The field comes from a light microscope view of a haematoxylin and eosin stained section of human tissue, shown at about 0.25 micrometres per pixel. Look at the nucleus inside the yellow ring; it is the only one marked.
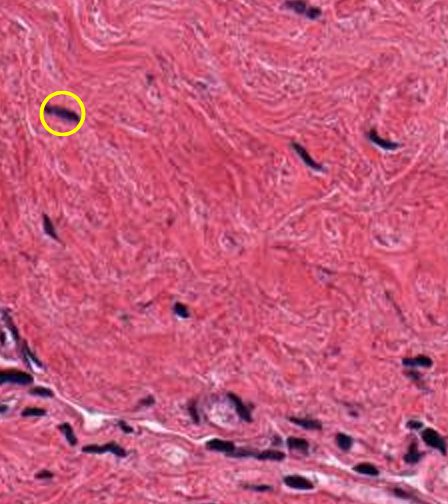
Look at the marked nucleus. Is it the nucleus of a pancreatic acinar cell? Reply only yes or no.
no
